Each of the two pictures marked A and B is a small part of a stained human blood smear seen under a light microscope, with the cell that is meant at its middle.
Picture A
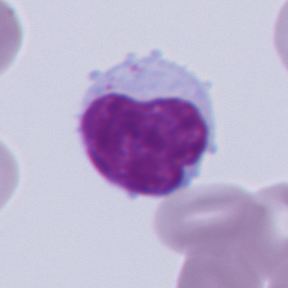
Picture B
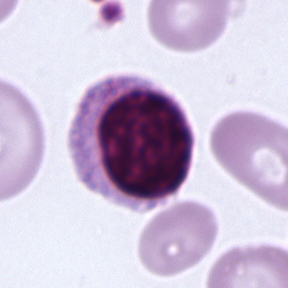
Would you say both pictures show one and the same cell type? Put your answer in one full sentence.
Yes, they are the same type: both are large granular lymphocytes.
